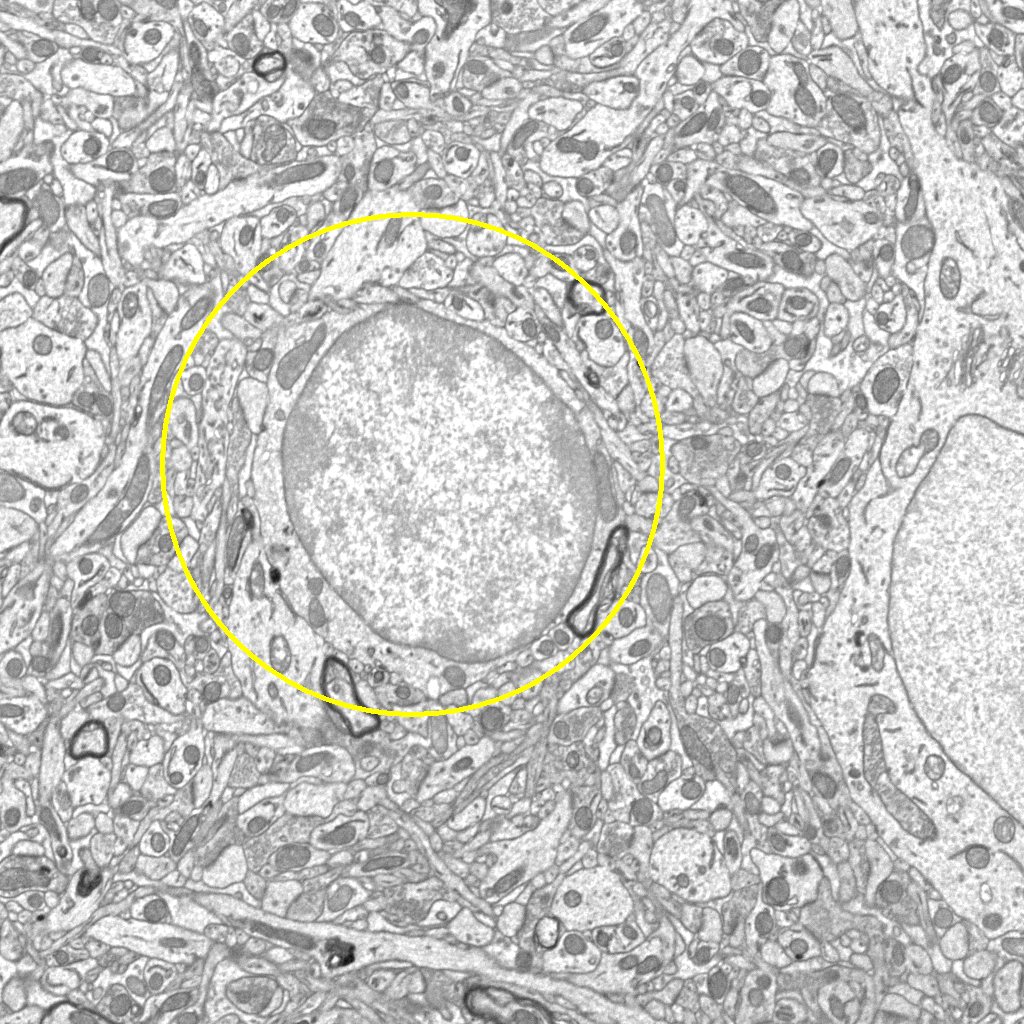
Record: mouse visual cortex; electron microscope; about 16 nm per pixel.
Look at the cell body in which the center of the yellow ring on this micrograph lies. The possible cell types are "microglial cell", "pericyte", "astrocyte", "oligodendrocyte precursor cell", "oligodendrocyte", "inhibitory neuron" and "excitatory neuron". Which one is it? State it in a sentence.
The cell at the middle of the ring is an oligodendrocyte.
